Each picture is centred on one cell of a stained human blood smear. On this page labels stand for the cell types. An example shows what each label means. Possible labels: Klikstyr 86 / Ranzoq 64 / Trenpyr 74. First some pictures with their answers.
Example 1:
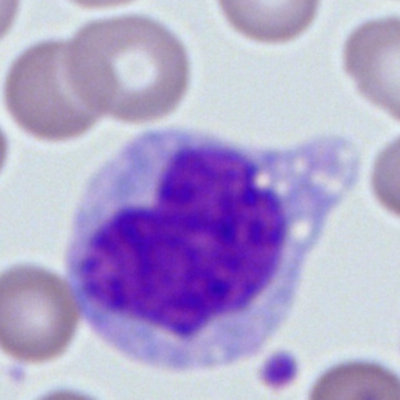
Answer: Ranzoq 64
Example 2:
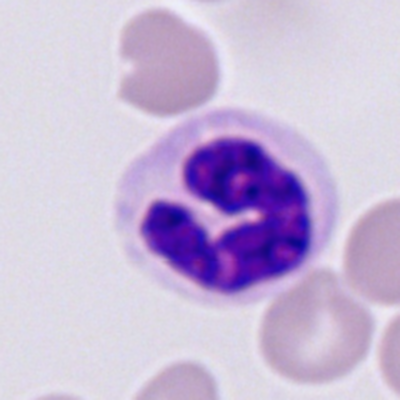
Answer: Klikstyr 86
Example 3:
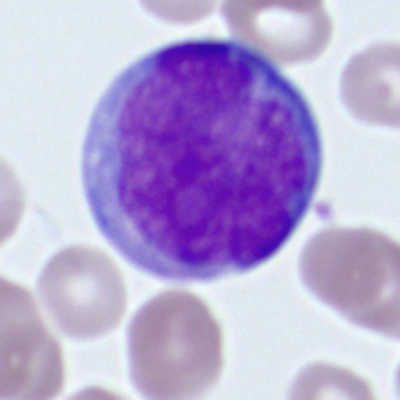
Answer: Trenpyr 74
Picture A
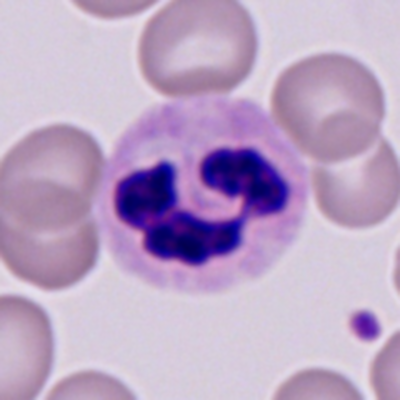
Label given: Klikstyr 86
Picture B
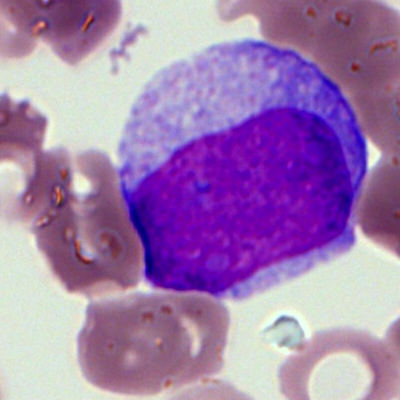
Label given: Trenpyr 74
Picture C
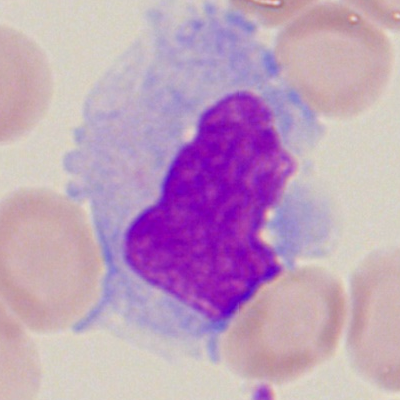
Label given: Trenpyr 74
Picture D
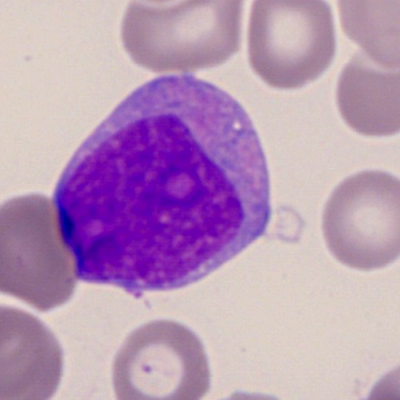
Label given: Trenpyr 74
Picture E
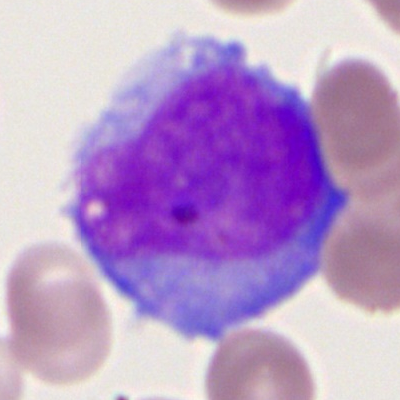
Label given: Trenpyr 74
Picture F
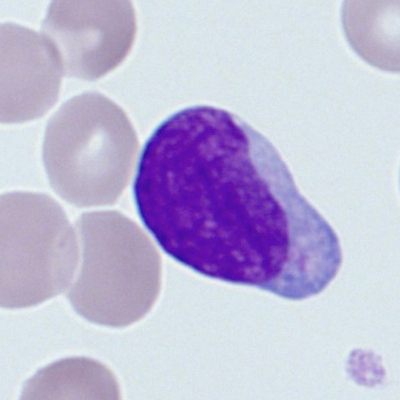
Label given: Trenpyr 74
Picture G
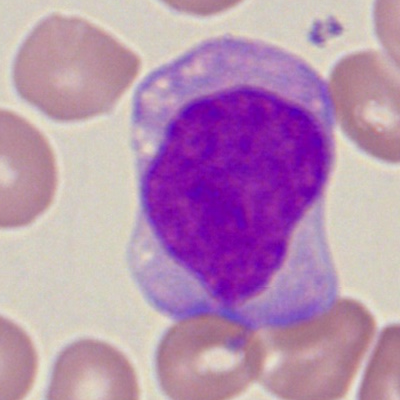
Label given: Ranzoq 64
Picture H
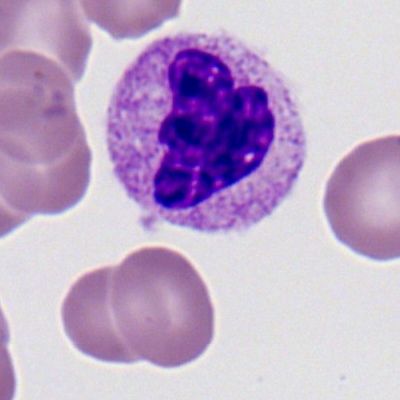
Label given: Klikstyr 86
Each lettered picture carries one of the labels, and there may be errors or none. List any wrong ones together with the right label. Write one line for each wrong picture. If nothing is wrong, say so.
C is labelled Trenpyr 74; correct label: Ranzoq 64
